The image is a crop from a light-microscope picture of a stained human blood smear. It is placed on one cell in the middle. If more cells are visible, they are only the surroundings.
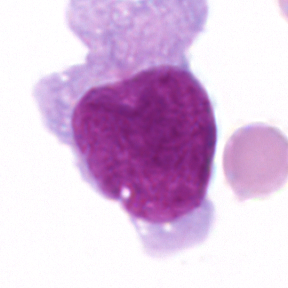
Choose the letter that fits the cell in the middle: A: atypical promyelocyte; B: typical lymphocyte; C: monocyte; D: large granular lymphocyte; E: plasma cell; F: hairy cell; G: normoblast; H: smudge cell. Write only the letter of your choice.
A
